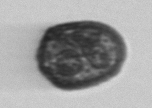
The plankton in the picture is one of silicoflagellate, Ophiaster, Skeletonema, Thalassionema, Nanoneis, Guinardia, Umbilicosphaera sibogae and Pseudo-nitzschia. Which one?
Umbilicosphaera sibogae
